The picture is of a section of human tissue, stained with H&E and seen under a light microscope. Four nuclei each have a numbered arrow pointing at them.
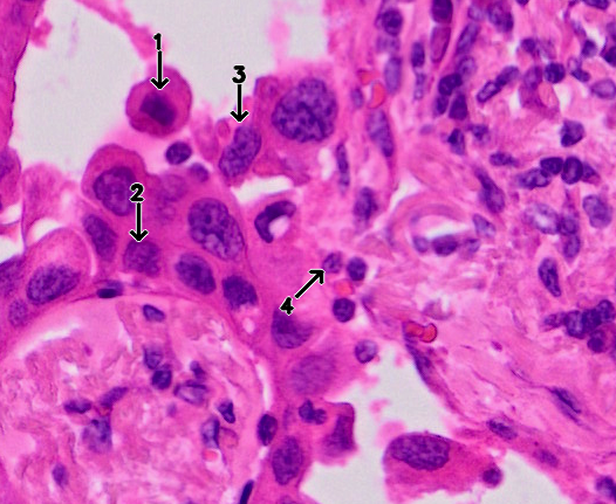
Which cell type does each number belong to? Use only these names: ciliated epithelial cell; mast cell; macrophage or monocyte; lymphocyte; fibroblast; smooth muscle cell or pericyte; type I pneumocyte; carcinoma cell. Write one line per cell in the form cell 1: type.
cell 1: carcinoma cell
cell 2: carcinoma cell
cell 3: carcinoma cell
cell 4: lymphocyte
